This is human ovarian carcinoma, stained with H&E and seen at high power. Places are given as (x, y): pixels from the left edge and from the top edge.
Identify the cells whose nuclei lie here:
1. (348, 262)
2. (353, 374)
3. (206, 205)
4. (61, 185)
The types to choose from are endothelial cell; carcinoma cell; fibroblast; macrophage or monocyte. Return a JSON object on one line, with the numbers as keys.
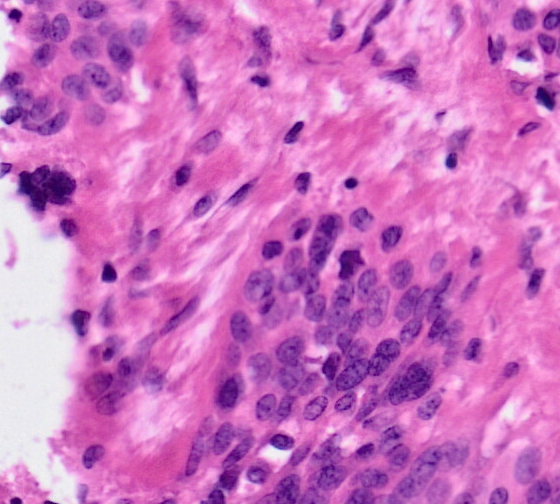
{"1": "carcinoma cell", "2": "carcinoma cell", "3": "fibroblast", "4": "carcinoma cell"}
